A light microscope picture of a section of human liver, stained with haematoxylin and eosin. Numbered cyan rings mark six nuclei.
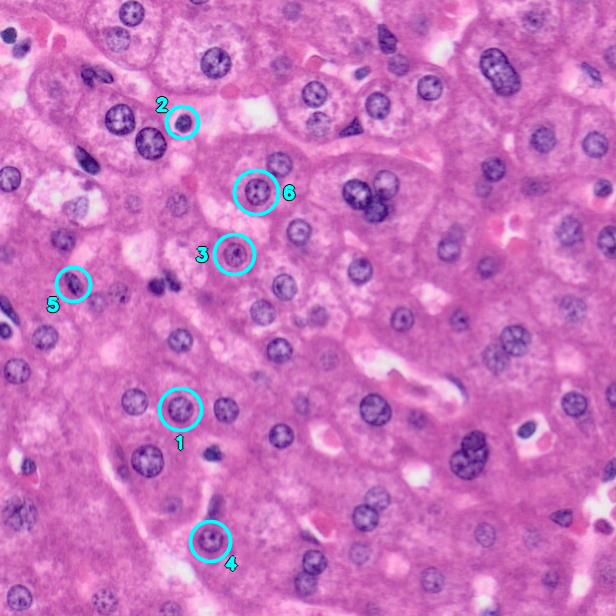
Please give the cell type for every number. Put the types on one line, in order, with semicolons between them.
hepatocyte; lymphocyte; hepatocyte; hepatocyte; fibroblast or stellate cell; hepatocyte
